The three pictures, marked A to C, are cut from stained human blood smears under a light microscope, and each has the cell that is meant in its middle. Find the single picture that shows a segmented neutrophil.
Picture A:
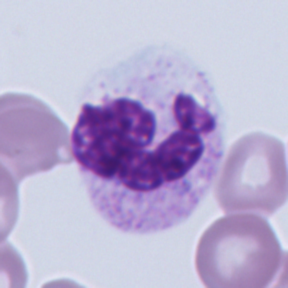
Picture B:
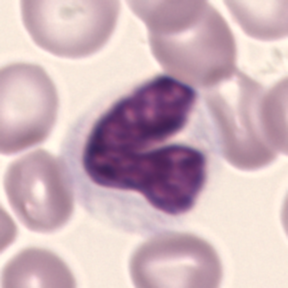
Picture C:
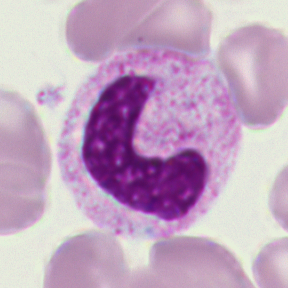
A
